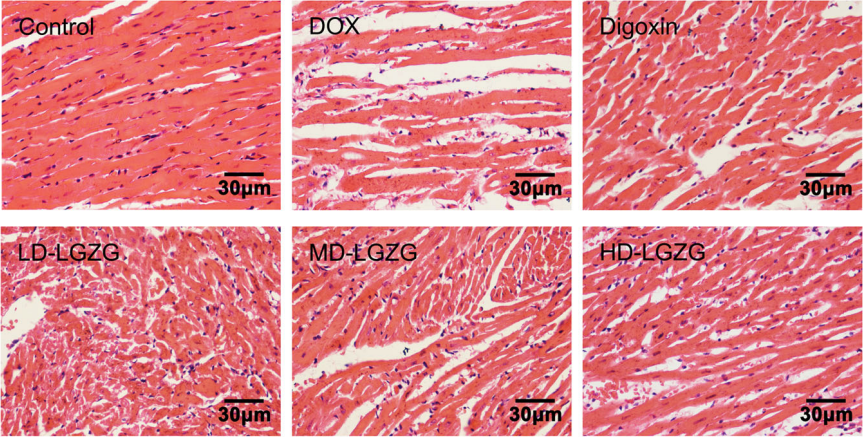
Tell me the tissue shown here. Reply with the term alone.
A: cardiac tissue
